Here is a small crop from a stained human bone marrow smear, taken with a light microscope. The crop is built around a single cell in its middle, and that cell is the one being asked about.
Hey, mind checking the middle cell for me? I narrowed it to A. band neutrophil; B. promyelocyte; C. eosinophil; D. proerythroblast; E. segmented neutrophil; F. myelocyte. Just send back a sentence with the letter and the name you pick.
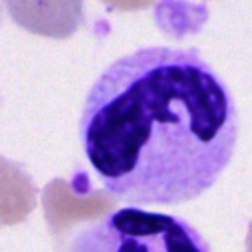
The one cell at the centre is a band neutrophil, as correctly stated in option A.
